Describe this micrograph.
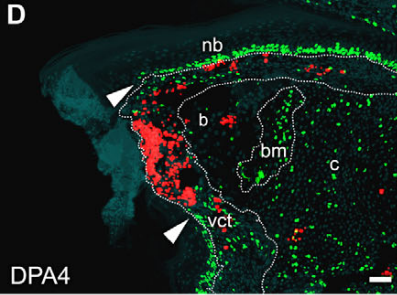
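Longitudinal section of a digit tip with nail bed, bone, bone marrow and cartilage outlined by dotted lines. Green nuclei are scattered through the connective tissue and lie densely along the nail bed and the ventral surface. At the cut distal end a large compact cluster of red cells fills the tip between the epidermal layers, and further red cells lie beneath the nail bed and within the bone. Beyond the tip lies a broad gray, cell-poor mass.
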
